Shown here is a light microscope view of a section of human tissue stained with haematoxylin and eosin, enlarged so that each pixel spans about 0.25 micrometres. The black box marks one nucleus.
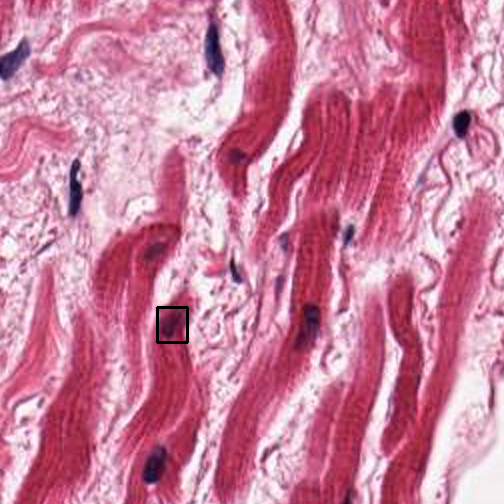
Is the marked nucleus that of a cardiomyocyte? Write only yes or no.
yes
